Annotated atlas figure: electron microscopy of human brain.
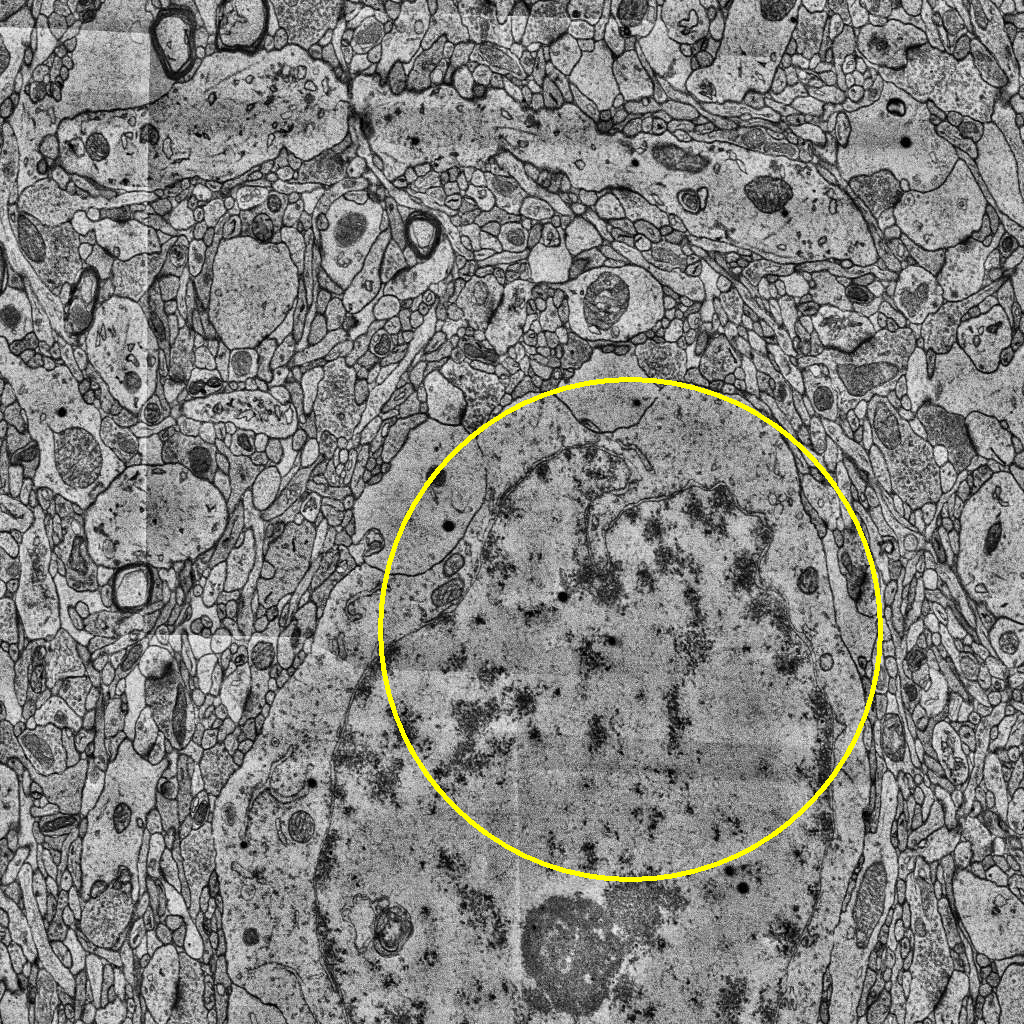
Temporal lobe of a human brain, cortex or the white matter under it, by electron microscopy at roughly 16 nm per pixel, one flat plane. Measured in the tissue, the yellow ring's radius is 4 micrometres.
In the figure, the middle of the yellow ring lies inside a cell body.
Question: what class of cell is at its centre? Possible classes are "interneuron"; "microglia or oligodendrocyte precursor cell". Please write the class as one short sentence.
The yellow ring's centre lies in an interneuron.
